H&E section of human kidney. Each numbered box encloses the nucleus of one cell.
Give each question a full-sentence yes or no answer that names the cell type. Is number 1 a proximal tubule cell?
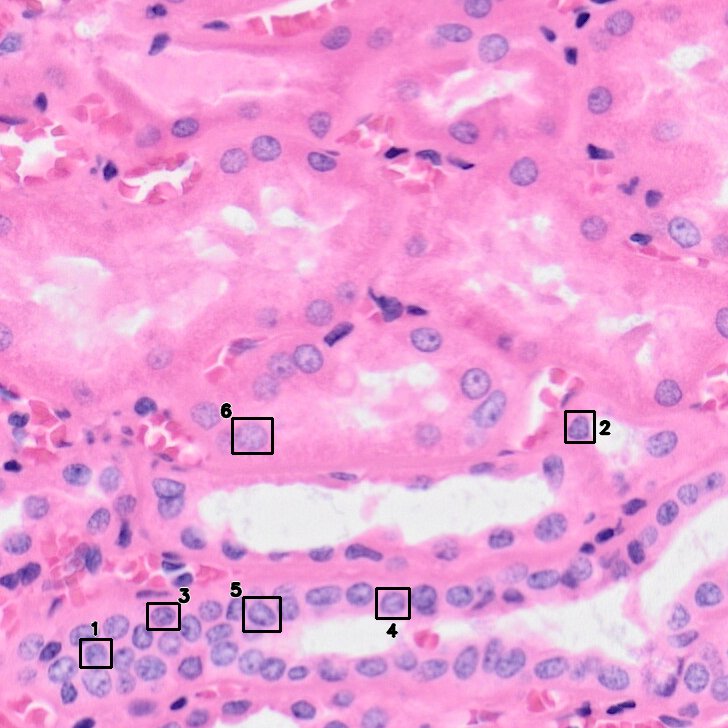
No, the right label for cell 1 is a collecting duct cell rather than a proximal tubule cell.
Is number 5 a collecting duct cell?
Yes, it is a collecting duct cell that carries the number 5.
